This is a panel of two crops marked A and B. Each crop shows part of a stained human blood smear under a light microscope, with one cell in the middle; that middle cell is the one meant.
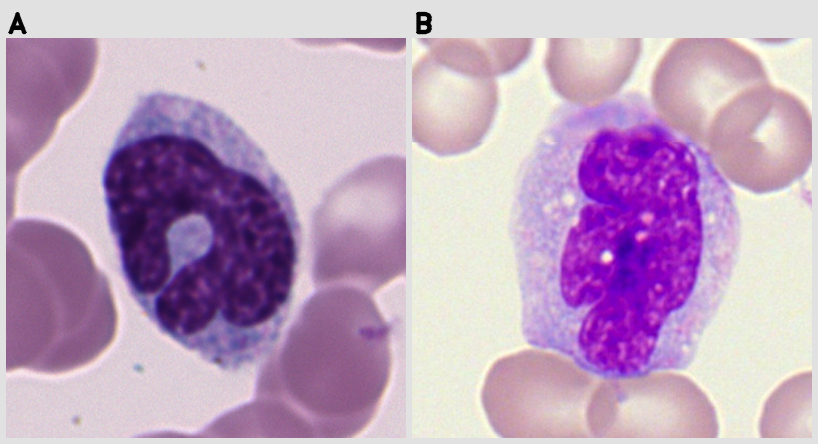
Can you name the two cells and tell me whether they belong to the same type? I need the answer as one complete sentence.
Yes, the middle cells in the two crops are monocytes.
